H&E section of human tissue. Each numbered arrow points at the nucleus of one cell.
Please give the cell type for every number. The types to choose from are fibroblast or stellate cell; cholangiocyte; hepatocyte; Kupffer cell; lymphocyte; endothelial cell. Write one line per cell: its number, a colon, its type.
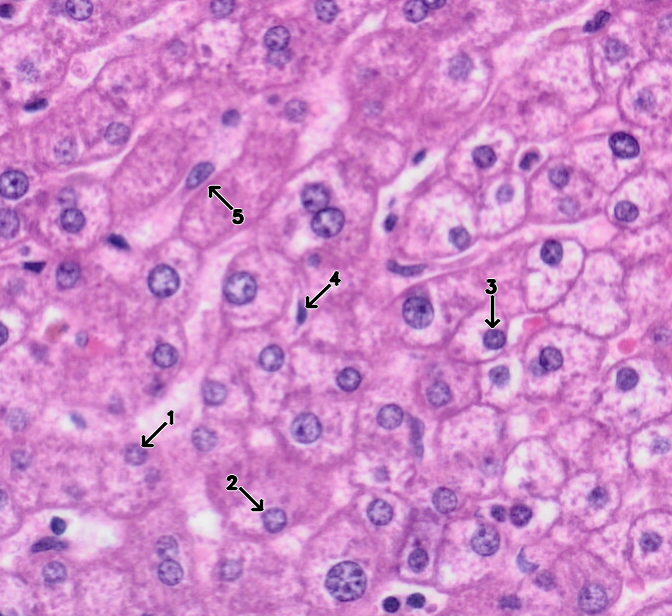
1: hepatocyte
2: hepatocyte
3: hepatocyte
4: lymphocyte
5: Kupffer cell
